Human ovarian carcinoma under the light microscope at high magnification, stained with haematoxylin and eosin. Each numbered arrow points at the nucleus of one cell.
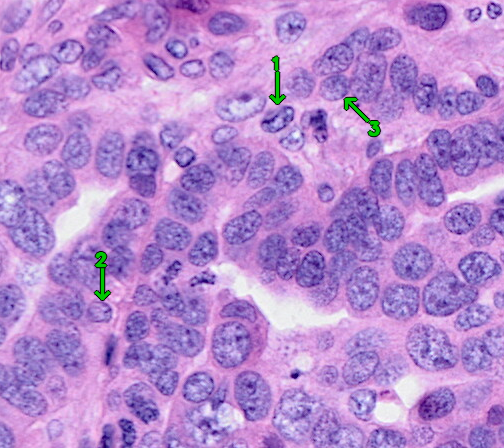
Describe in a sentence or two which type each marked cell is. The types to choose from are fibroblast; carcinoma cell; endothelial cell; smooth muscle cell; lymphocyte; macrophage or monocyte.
Cells 1 and 2 are macrophages or monocytes. Cell 3 is a carcinoma cell.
